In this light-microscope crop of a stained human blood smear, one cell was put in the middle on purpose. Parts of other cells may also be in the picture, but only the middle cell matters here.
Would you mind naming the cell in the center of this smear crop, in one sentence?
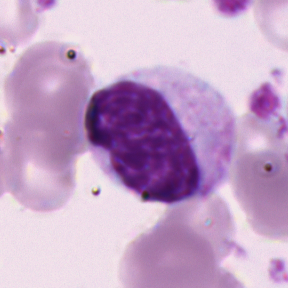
In the middle of this smear crop, the cell is a metamyelocyte.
